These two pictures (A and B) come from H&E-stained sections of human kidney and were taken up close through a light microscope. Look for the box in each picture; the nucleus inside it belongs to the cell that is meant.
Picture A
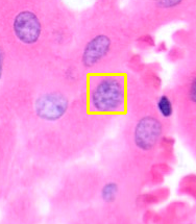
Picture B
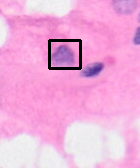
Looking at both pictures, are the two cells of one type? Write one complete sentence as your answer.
Yes, the two pictures both show proximal tubule cells.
